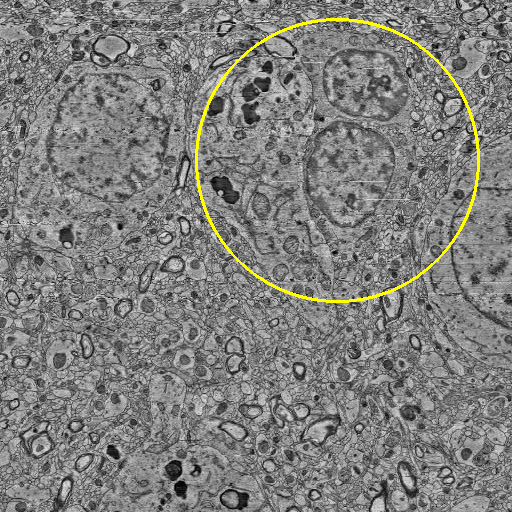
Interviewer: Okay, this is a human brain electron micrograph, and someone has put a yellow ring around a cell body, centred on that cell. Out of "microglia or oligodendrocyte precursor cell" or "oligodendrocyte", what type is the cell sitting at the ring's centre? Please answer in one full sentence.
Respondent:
The cell at the centre of the yellow ring in this picture is an oligodendrocyte.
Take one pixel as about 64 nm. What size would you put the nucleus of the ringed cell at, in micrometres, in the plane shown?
Approximately 7 by 6 micrometers in this plane.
